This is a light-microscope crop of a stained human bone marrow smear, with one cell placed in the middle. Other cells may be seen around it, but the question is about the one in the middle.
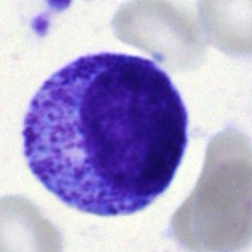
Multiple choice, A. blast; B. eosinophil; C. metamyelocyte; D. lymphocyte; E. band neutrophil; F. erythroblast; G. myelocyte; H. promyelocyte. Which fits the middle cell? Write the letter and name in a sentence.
Located in the middle of the crop is a myelocyte, and option G is therefore correct.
